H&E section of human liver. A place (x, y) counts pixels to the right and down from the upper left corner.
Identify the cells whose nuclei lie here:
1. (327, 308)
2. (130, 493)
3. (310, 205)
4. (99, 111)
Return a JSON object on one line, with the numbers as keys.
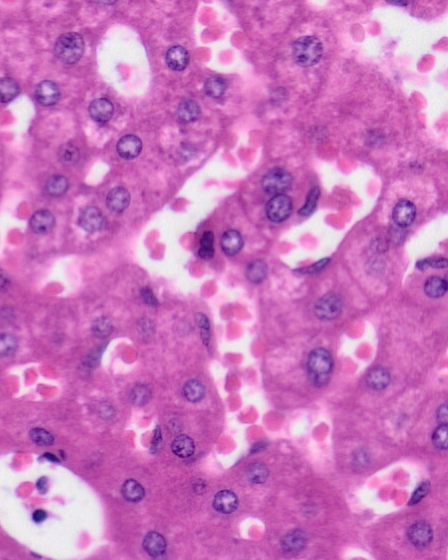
{"1": "hepatocyte", "2": "hepatocyte", "3": "Kupffer cell", "4": "hepatocyte"}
